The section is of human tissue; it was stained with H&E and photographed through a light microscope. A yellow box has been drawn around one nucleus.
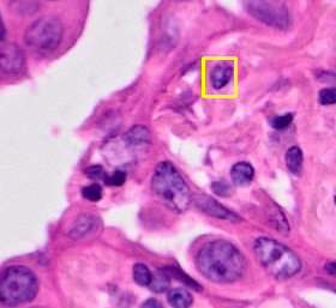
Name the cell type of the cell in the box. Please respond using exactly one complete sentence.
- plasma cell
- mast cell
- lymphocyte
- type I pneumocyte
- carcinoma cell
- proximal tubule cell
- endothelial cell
As classified here, the cell in the box is a mast cell.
